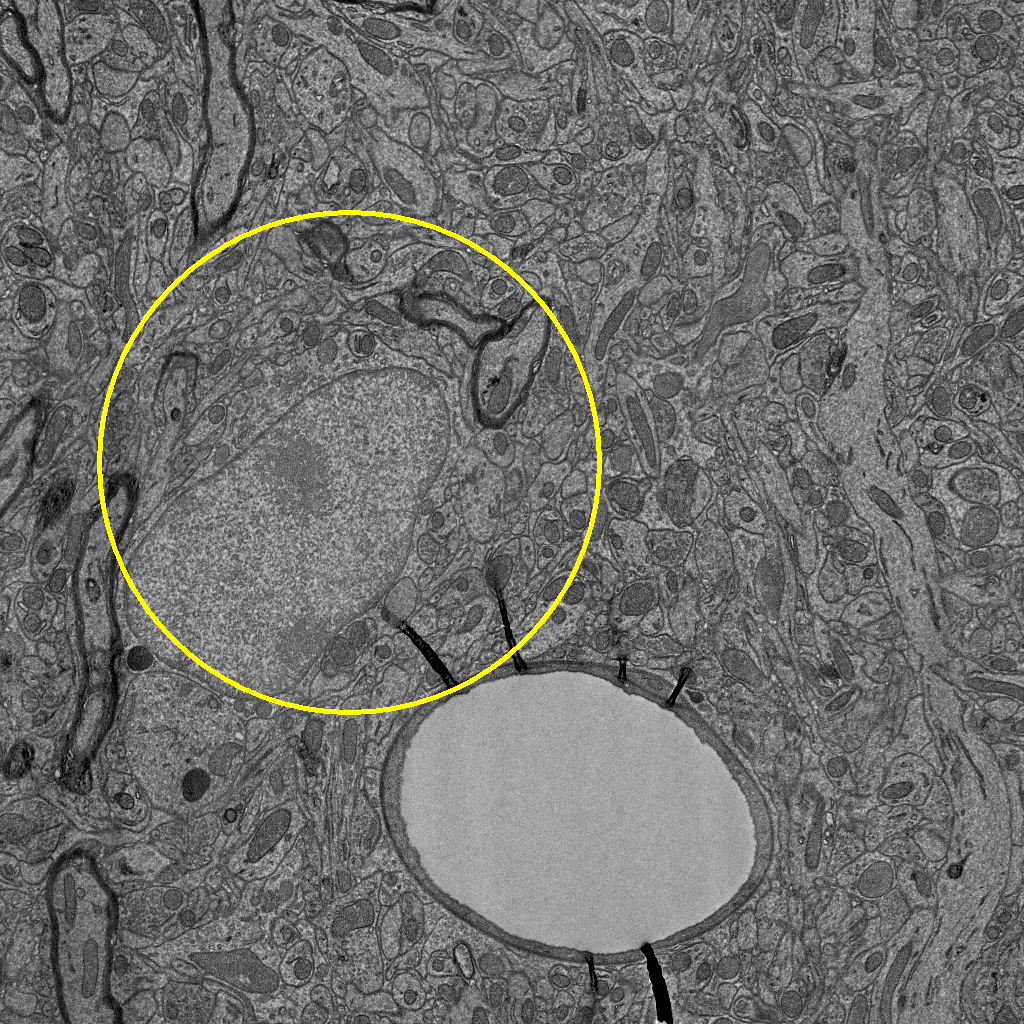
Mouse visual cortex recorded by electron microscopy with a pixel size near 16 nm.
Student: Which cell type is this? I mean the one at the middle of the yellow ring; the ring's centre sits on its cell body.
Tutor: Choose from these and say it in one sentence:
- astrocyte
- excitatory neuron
The cell at the ring's centre is an astrocyte.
